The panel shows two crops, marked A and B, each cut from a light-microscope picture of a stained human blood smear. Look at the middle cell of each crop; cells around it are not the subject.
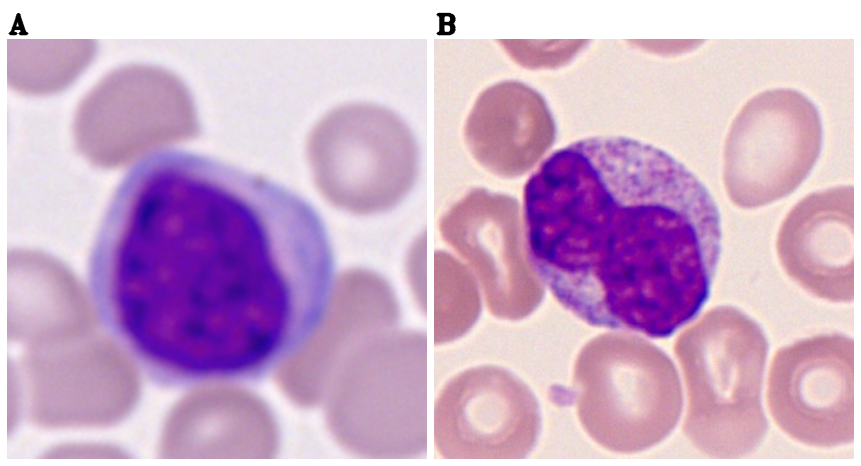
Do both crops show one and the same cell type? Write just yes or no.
yes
